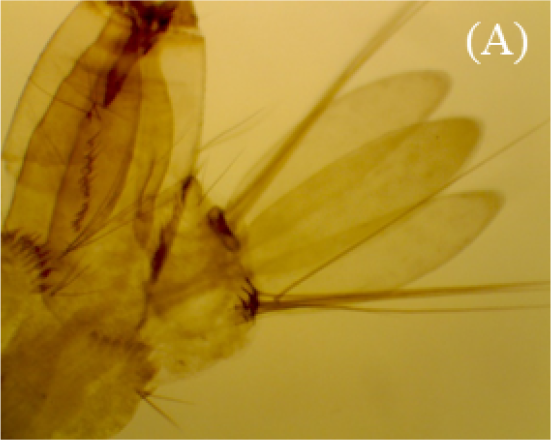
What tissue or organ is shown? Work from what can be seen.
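Anal papillae. A tuft of long bristles arises near their base.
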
